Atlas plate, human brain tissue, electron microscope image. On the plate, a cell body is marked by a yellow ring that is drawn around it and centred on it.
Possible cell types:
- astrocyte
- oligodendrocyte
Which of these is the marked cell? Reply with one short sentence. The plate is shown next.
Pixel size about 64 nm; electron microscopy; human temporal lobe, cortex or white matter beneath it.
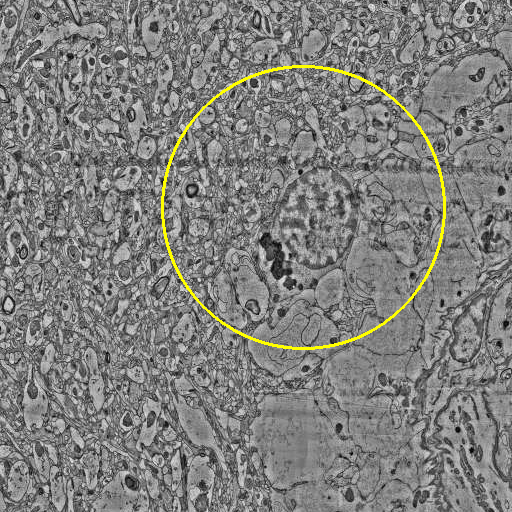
The marked cell is an oligodendrocyte.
